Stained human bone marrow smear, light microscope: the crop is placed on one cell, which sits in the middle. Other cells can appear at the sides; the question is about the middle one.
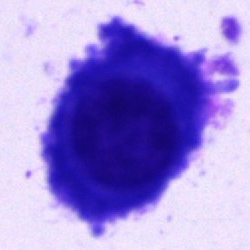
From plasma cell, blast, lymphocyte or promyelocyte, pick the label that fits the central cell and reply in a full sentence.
The cell nearest the centre of this crop is a plasma cell.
